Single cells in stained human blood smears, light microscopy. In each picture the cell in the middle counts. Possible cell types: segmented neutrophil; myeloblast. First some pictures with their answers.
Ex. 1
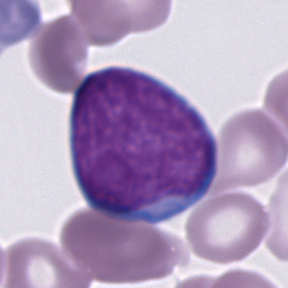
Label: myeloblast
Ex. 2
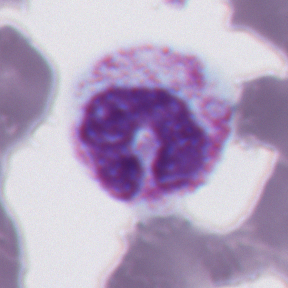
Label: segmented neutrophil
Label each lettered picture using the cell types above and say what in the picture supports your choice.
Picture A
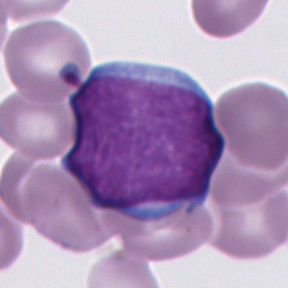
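myeloblast. Reason: The cytoplasm is blue.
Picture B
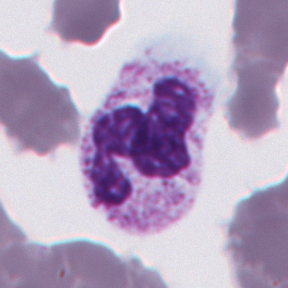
segmented neutrophil. Reason: The cytoplasm is very pale, almost colourless, with a faint pink tinge.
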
